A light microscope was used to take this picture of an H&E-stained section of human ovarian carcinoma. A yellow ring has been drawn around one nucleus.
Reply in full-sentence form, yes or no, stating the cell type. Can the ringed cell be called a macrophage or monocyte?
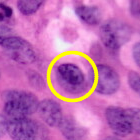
No, in this section the ringed cell is a carcinoma cell and not a macrophage or monocyte.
